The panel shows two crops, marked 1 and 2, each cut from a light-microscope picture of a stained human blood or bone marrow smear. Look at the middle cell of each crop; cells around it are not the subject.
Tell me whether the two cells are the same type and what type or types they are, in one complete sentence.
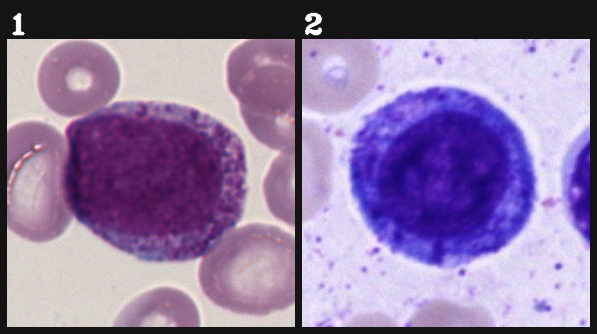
Yes, both crops show promyelocytes, each crop centred on one of them.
